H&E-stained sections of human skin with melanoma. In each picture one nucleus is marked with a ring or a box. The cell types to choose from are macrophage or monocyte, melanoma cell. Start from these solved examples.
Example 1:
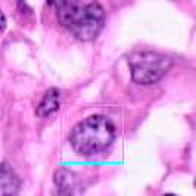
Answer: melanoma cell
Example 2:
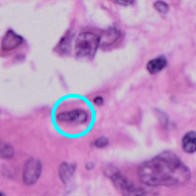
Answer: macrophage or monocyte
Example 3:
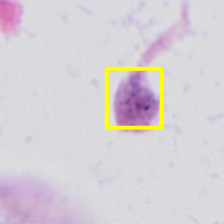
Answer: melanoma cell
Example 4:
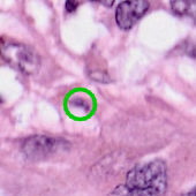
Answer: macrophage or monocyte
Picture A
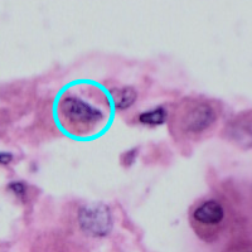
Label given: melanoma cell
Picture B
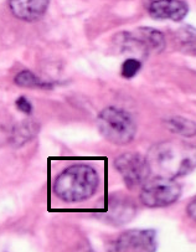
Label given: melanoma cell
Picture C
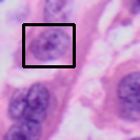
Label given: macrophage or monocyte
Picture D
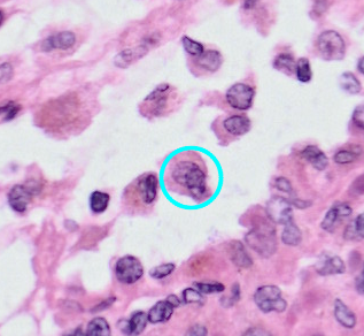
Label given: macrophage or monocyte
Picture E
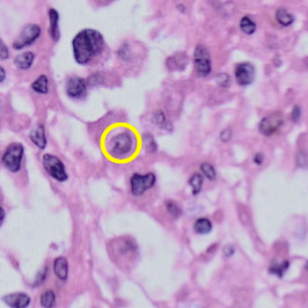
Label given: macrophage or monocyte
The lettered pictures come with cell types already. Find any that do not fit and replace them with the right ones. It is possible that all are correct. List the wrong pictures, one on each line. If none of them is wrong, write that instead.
A: macrophage or monocyte, not melanoma cell
C: melanoma cell, not macrophage or monocyte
